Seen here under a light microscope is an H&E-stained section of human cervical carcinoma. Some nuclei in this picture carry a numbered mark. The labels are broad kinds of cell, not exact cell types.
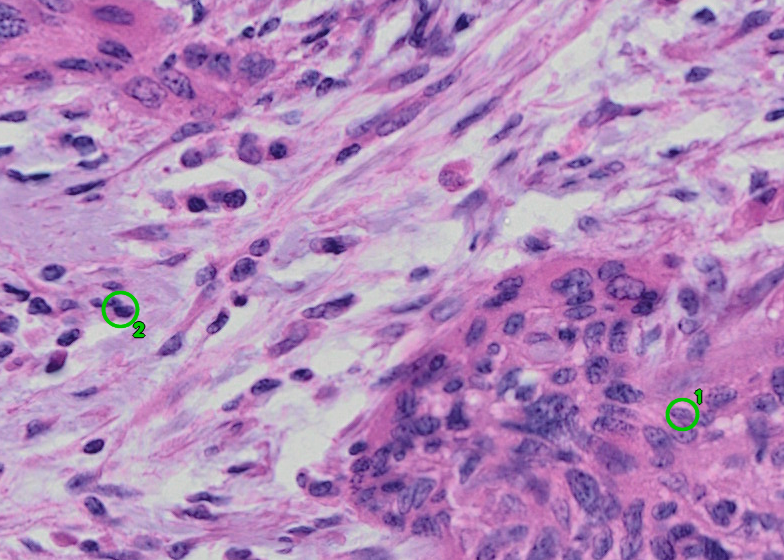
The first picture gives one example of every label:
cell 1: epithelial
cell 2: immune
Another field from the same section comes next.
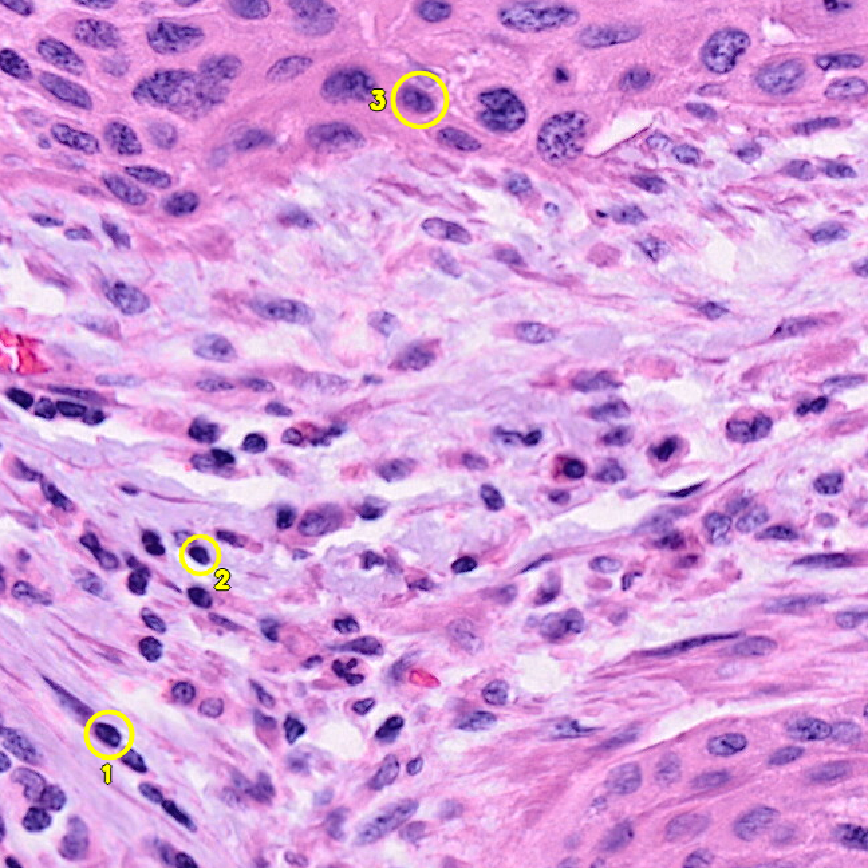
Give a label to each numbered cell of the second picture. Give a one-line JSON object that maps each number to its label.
{"1": "immune", "2": "immune", "3": "epithelial"}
